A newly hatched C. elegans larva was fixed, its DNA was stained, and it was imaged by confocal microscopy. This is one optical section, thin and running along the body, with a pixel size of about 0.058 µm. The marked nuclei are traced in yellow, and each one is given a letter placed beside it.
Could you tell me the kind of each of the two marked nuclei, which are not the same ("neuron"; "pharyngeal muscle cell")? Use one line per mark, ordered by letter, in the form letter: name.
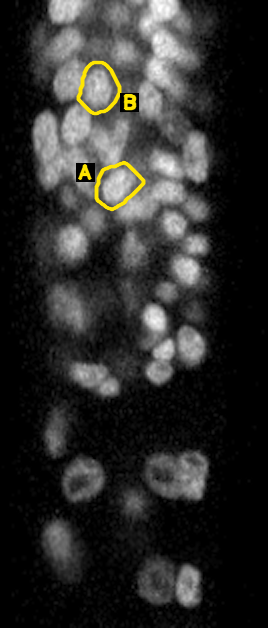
A: pharyngeal muscle cell
B: neuron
